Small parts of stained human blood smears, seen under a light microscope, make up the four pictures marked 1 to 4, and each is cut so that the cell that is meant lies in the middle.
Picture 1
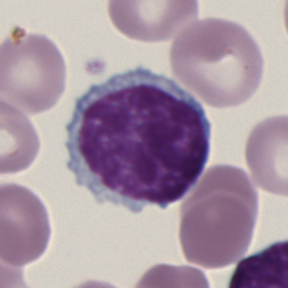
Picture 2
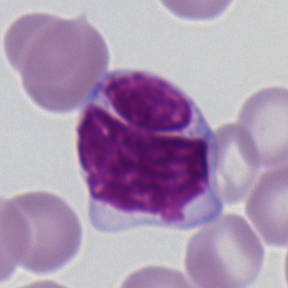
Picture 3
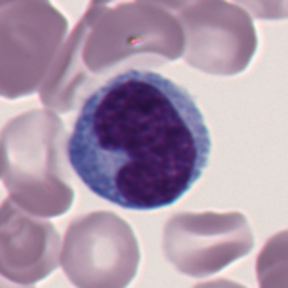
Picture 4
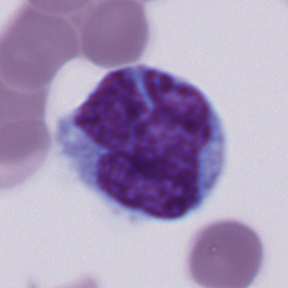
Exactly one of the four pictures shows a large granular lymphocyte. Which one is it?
2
